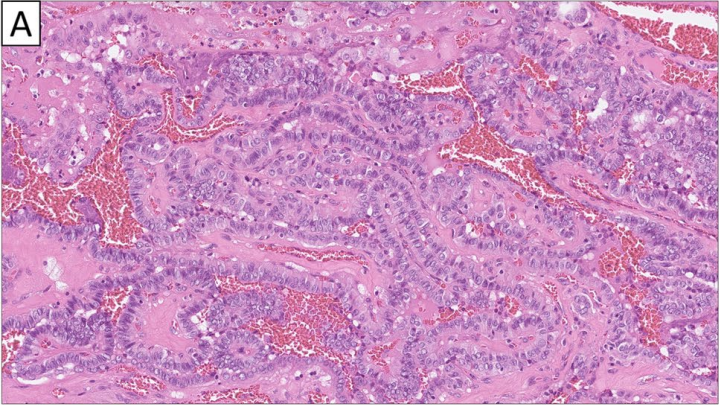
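This is a thyroid carcinoma of tall cell type, made of tumor cells lining elongated papillary and tubular structures. The cells are columnar, clearly taller than they are wide, with abundant pink cytoplasm. Their nuclei are elongated and pale to purple, crowded side by side in rows along the epithelium. Between the epithelial structures lie spaces filled with red blood cells and strands of pink fibrous stroma. A few small clear vacuolated spaces are scattered among the tumor cells.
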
